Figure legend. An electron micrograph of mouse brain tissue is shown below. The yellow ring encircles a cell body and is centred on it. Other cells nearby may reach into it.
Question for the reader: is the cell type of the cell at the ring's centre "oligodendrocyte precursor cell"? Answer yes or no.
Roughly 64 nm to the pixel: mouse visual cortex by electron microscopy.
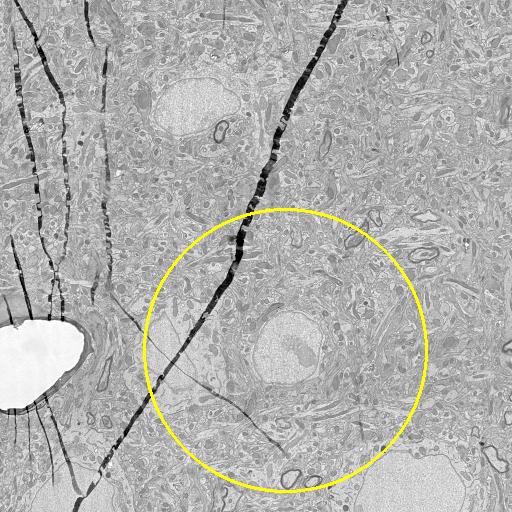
yes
